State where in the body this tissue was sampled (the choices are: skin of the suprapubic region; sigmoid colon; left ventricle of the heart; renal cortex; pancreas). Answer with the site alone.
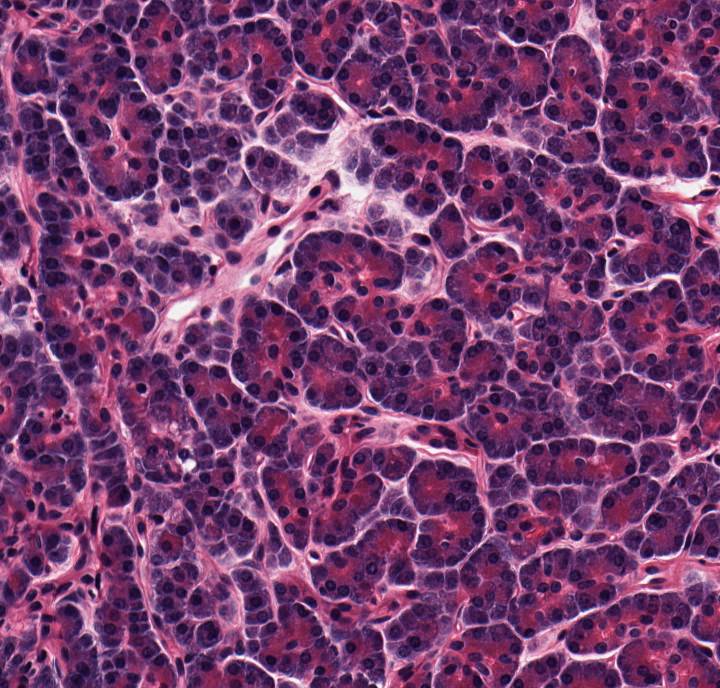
pancreas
